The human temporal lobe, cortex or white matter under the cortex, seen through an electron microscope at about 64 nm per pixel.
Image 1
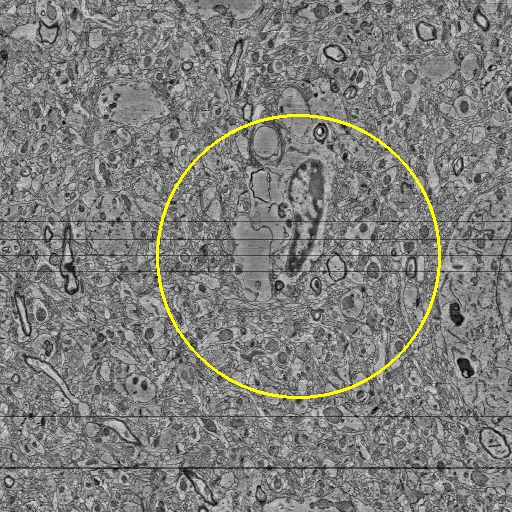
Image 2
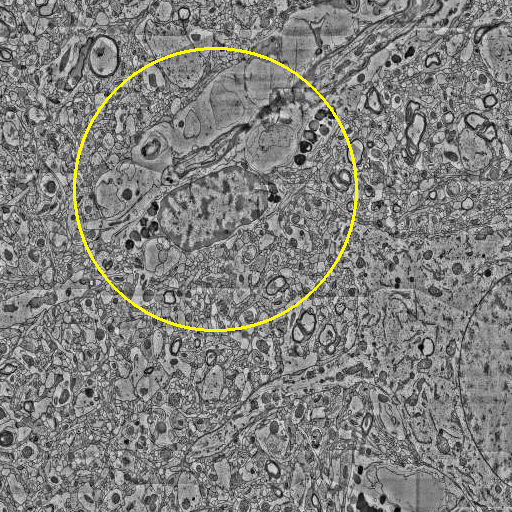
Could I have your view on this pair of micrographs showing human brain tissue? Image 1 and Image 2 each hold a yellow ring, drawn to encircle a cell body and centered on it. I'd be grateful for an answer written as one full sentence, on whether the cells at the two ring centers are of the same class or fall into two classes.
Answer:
The cells at the centers of the two rings are of the same class.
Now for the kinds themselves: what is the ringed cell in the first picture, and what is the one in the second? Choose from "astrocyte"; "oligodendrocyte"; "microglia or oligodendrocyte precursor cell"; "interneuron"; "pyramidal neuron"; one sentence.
Each of the two cells is a microglial cell or oligodendrocyte precursor cell.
